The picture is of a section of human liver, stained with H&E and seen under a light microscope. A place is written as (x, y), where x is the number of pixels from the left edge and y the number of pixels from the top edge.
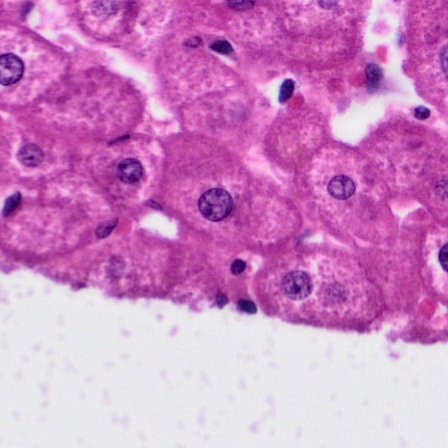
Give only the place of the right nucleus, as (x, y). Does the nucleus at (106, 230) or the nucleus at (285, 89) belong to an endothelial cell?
(106, 230)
